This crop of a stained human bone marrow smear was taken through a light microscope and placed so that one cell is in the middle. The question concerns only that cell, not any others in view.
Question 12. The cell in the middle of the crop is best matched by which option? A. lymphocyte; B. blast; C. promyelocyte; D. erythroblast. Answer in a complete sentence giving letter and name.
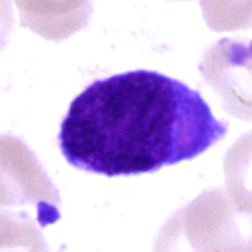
Option B is the correct one; it names the central cell as a blast.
